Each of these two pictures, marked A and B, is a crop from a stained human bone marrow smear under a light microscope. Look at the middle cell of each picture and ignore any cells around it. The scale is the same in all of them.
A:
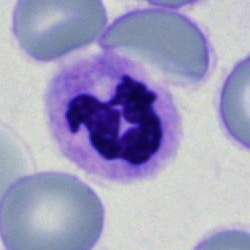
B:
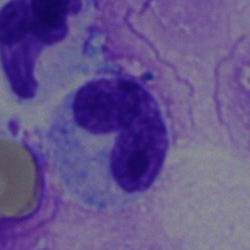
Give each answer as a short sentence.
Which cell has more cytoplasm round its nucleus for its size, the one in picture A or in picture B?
In picture A the nucleus takes up the smaller part of its cell.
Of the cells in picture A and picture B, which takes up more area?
The cell in picture A is larger, with about 1.5 times the area of the one in picture B.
